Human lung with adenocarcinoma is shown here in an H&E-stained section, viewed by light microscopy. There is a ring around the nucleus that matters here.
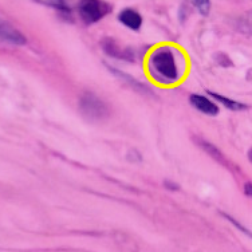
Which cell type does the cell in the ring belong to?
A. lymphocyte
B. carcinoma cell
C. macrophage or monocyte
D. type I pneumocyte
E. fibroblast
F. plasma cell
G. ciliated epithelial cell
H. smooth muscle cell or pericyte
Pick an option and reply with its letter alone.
F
